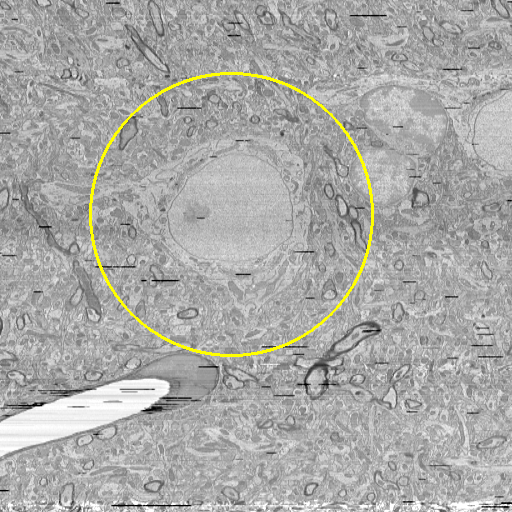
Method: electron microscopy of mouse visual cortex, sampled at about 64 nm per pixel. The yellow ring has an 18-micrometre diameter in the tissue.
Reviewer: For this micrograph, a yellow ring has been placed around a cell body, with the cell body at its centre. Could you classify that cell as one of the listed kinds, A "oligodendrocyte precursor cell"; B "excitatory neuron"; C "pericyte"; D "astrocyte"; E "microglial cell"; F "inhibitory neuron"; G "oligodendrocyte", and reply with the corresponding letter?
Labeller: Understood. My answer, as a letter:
B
